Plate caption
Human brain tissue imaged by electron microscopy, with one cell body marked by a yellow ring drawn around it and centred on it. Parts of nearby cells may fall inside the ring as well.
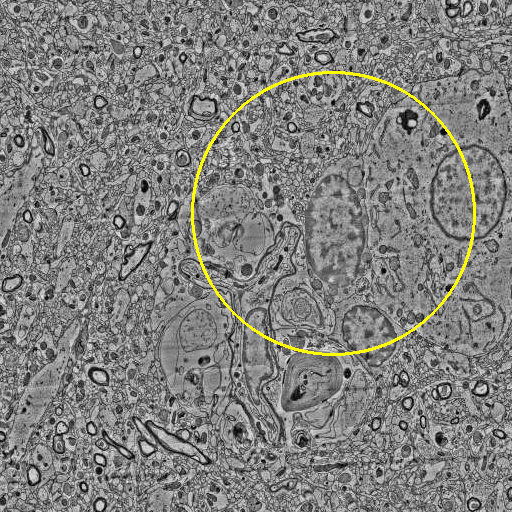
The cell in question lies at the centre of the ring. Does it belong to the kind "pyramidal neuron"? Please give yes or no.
No, it belongs to another kind.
